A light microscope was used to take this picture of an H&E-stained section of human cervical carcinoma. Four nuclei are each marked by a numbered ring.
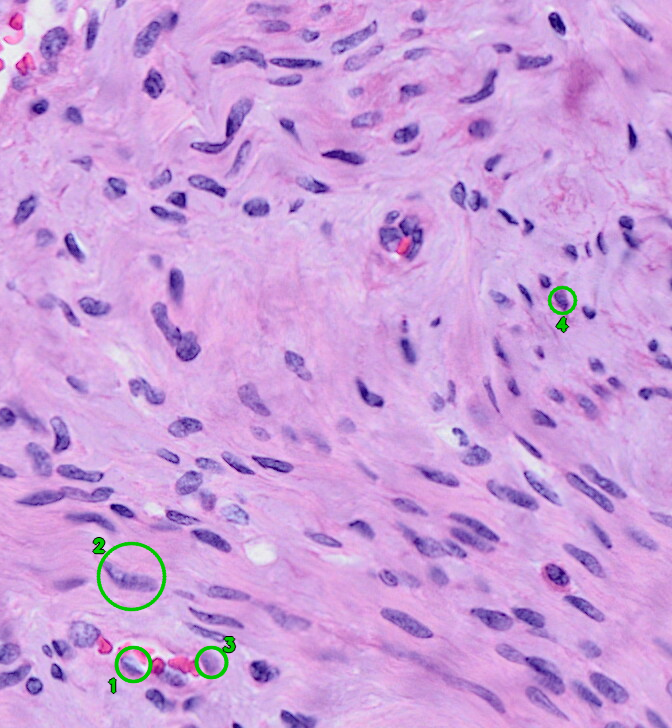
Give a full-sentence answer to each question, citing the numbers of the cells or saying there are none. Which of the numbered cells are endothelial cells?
The cells bearing the numbers 1 and 3 are endothelial cells.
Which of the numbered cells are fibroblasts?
A single numbered cell, cell 2, is a fibroblast.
